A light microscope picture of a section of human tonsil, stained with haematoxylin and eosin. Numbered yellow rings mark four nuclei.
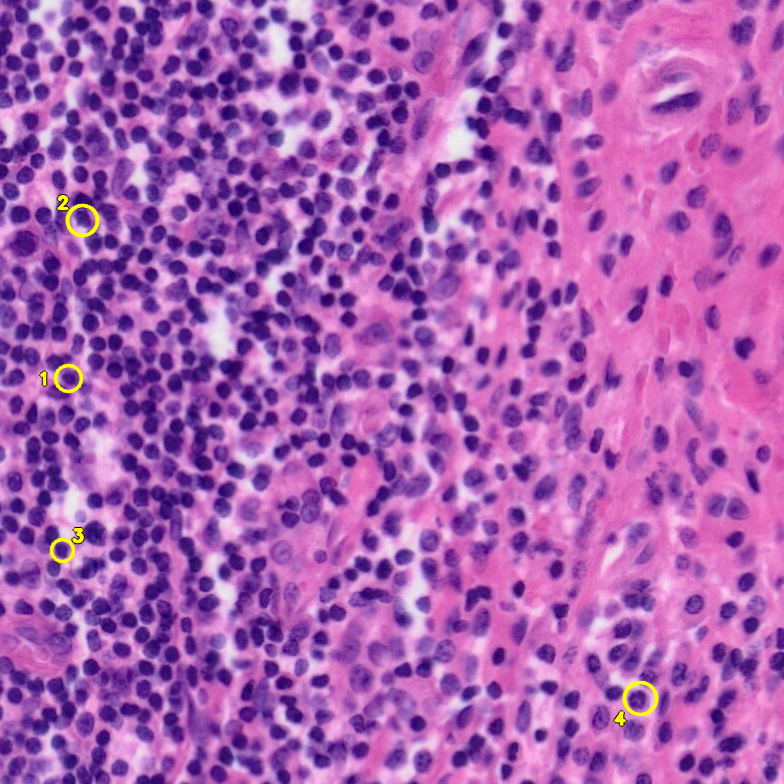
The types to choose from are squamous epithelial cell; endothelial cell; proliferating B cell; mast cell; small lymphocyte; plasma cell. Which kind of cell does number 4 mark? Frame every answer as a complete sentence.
Recognised here as a plasma cell is the cell numbered 4.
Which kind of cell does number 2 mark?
That cell with number 2 is a small lymphocyte.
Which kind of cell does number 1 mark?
The numbered cell 1 in this field is a small lymphocyte.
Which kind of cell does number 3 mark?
The cell identified by number 3 is a small lymphocyte.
